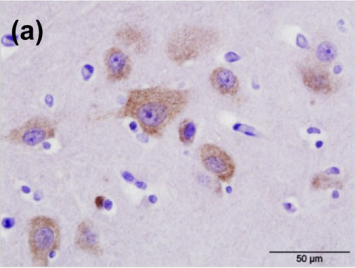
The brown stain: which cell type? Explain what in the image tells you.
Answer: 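Large cell bodies with round pale nuclei and prominent nucleoli carry the brown stain. Small dark nuclei without brown cytoplasm lie between them.
Hence: neurons.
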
